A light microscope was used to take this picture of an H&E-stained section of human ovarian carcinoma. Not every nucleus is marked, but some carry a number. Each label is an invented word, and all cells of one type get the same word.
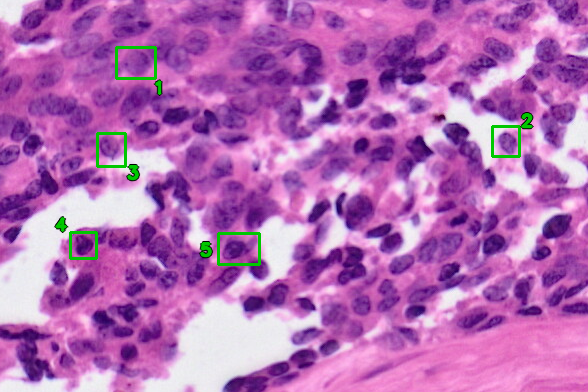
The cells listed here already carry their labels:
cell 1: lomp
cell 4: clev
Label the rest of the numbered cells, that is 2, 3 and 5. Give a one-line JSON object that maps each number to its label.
{"2": "clev", "3": "clev", "5": "lomp"}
